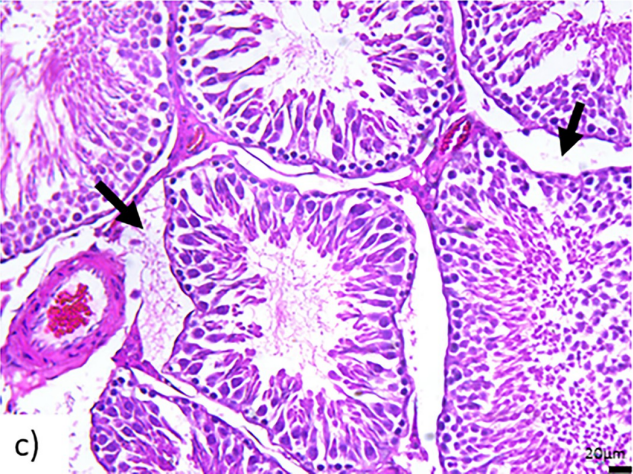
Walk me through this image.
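This is testicular tissue with tubules lined by several layers of spermatogenic cells whose nuclei stain purple, and whose lumens hold pale pink wisps of tails. The tubules are separated by wide, clear spaces, and two black arrows point into these gaps, where loose pale material lies. At the lower left, the interstitial tissue contains a thick-walled blood vessel filled with bright red blood cells.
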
